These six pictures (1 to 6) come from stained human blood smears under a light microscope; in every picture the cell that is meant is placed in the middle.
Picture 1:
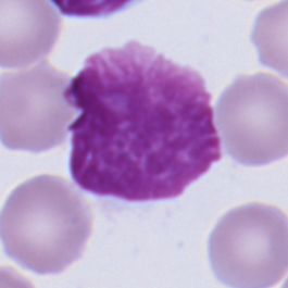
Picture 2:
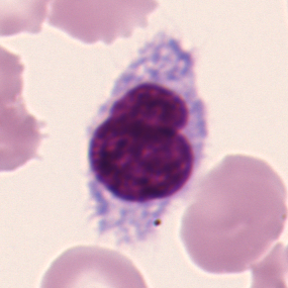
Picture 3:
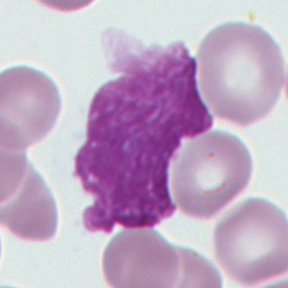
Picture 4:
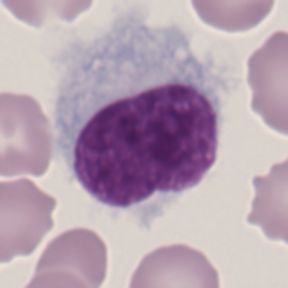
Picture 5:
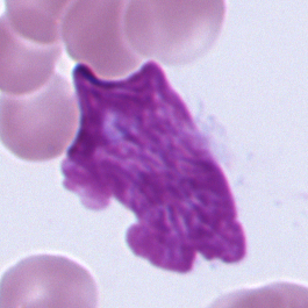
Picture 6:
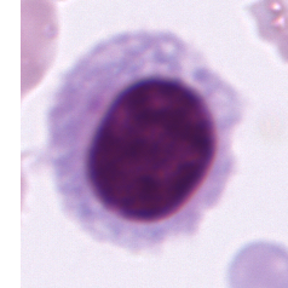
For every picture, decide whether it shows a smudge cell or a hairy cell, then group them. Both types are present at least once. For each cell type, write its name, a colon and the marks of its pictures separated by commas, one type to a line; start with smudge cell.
smudge cell: 1, 3, 5
hairy cell: 2, 4, 6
